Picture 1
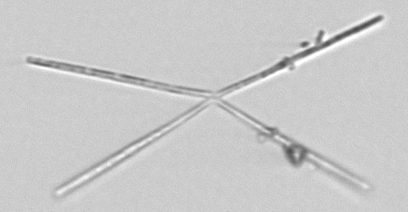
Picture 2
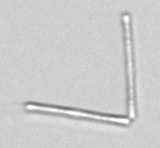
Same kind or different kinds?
Same: Thalassionema.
